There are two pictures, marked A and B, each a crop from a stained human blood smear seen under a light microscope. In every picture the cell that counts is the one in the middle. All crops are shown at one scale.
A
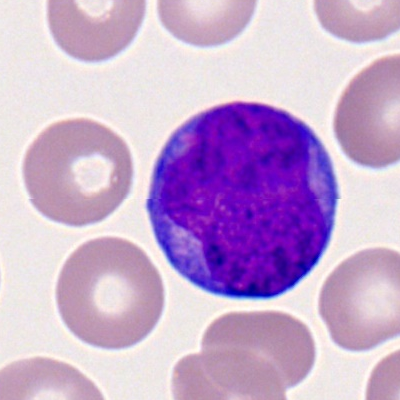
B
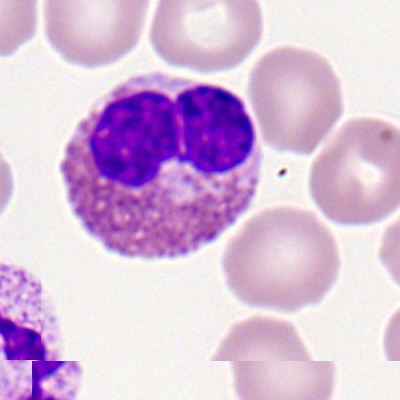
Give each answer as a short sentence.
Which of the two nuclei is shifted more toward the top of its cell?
In picture B the nucleus is shifted more toward the top.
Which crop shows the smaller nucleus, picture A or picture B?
Picture B shows the smaller nucleus, since that in picture A covers about 2 times as much area.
